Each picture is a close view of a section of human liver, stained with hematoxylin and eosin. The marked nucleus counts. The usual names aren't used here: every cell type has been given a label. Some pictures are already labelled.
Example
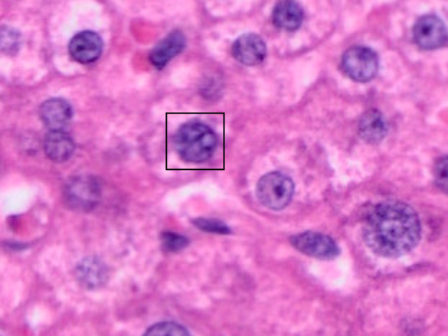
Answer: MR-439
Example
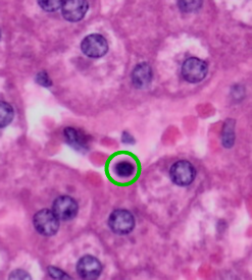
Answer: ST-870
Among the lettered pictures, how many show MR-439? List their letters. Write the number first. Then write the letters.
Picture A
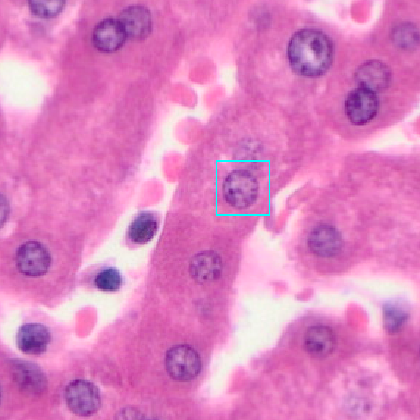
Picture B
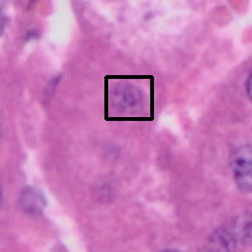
Count: 2 (A, B)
